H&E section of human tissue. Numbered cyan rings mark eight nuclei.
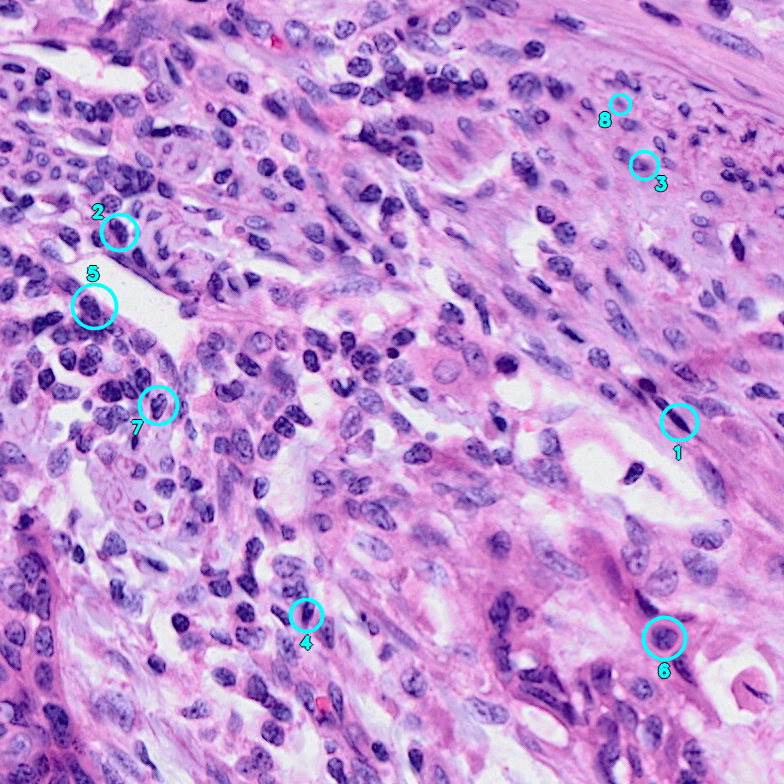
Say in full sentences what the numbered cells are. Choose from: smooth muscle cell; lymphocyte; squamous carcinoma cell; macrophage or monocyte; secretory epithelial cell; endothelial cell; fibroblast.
Cells 1, 2, 4, 5 and 7 are lymphocytes. Cells 3 and 8 are smooth muscle cells. Cell 6 is a squamous carcinoma cell.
